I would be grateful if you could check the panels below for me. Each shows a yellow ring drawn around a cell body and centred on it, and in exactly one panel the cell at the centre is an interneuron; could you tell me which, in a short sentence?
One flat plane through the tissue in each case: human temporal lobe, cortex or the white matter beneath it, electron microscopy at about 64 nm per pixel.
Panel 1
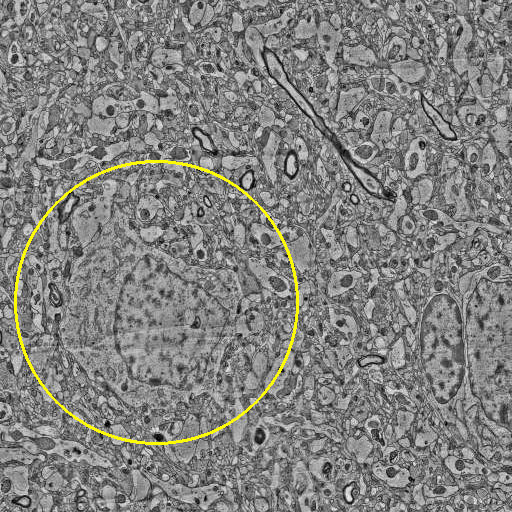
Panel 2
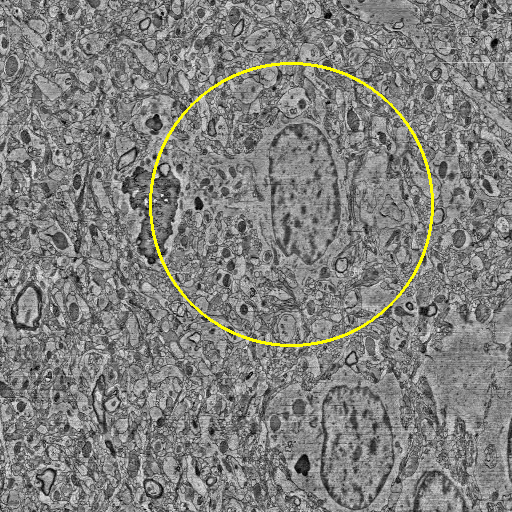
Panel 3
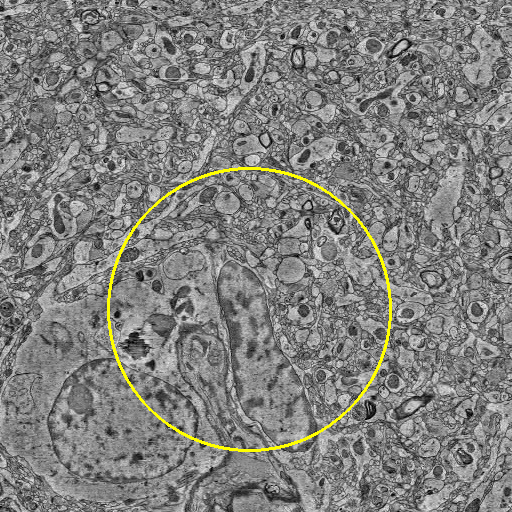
The ring in Panel 1 is centred on it.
